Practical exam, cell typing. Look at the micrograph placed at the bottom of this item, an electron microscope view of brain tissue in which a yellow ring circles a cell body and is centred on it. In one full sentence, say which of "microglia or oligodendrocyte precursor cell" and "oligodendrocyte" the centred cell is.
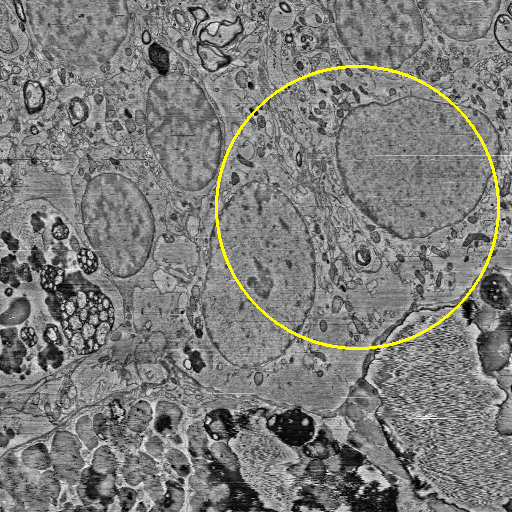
Given the options, a microglial cell or oligodendrocyte precursor cell fits the cell whose body the yellow ring is centred on.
